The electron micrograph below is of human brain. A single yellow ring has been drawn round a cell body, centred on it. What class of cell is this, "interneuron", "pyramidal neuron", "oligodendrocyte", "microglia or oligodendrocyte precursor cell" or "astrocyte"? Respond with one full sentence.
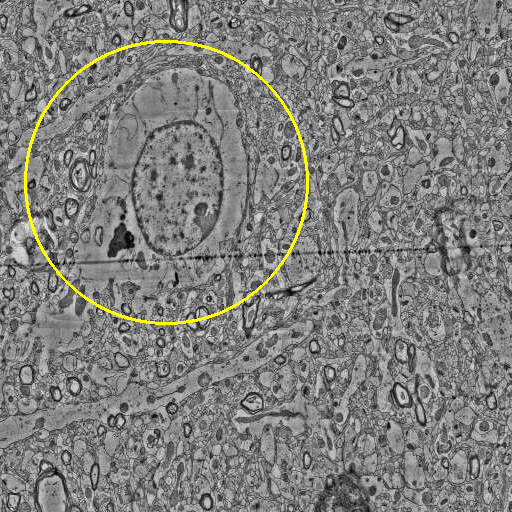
In the micrograph, the cell centred inside the yellow ring is an astrocyte.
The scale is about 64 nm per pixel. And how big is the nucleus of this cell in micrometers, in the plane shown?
Approximately 9 by 6 micrometers in this plane.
